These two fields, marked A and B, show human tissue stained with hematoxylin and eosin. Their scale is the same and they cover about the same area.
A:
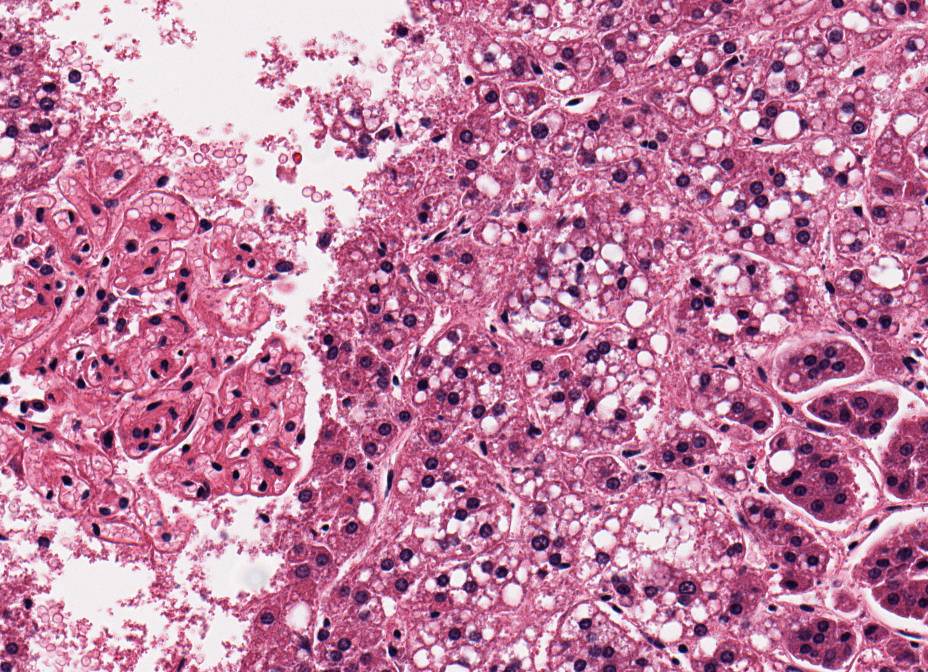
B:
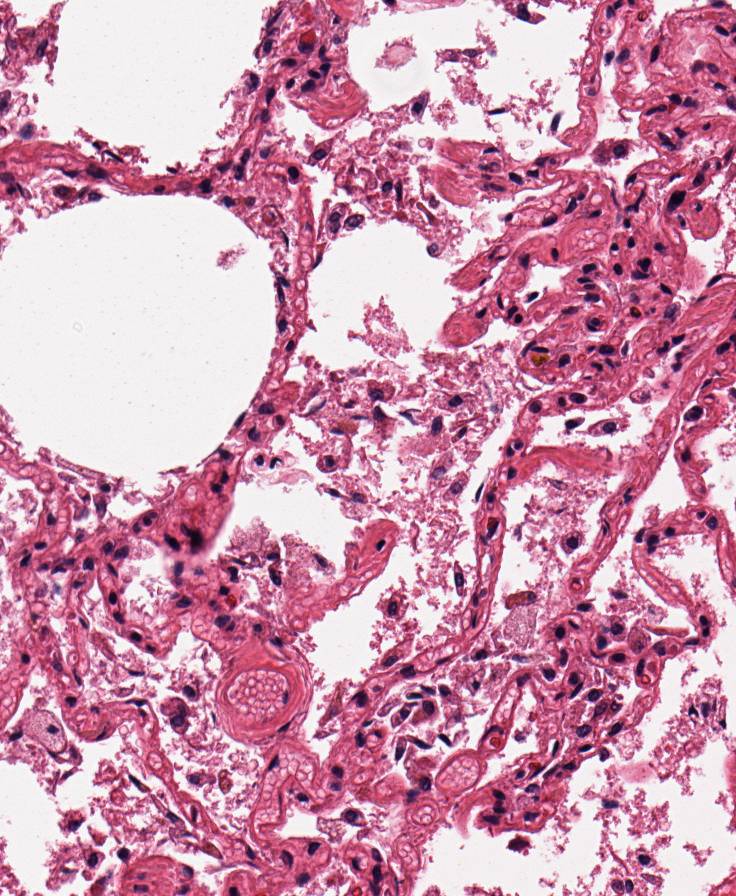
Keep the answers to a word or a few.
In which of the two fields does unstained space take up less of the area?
A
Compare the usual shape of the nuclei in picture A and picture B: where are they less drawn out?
A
